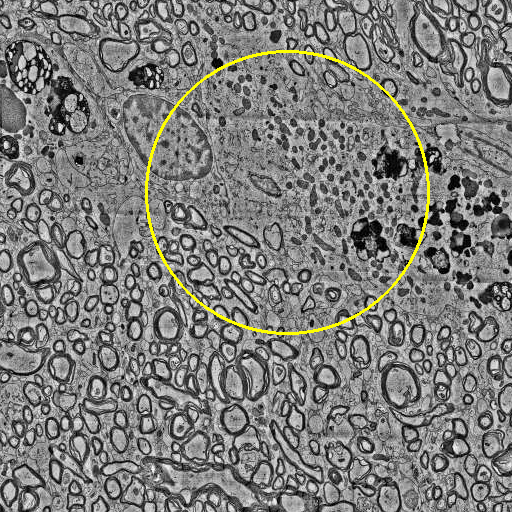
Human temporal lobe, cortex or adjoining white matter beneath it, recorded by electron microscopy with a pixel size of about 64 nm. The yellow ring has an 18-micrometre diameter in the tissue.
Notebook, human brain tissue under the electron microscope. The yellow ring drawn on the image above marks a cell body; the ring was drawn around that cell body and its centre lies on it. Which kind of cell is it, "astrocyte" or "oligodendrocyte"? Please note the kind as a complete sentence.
The marked cell body is that of an astrocyte.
